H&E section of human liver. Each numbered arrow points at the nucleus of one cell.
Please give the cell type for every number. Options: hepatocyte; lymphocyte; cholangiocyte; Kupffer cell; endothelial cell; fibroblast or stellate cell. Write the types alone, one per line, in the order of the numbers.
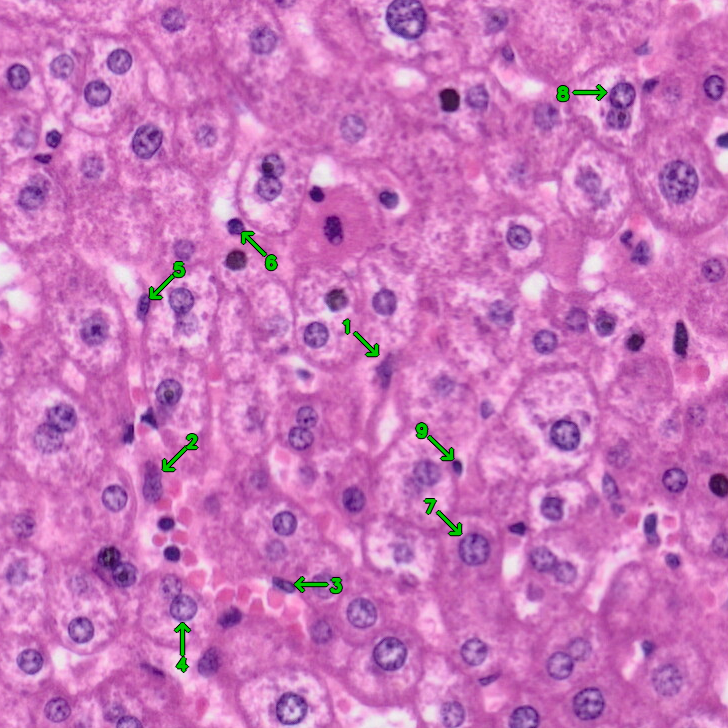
Kupffer cell
Kupffer cell
endothelial cell
hepatocyte
Kupffer cell
lymphocyte
hepatocyte
hepatocyte
lymphocyte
